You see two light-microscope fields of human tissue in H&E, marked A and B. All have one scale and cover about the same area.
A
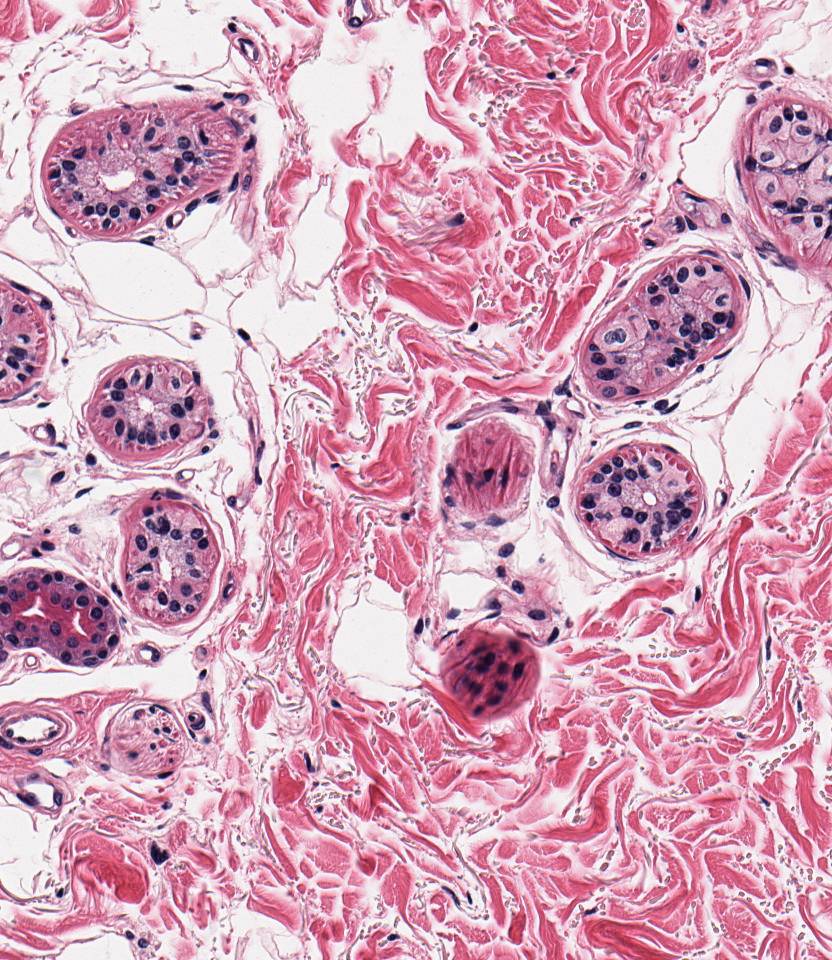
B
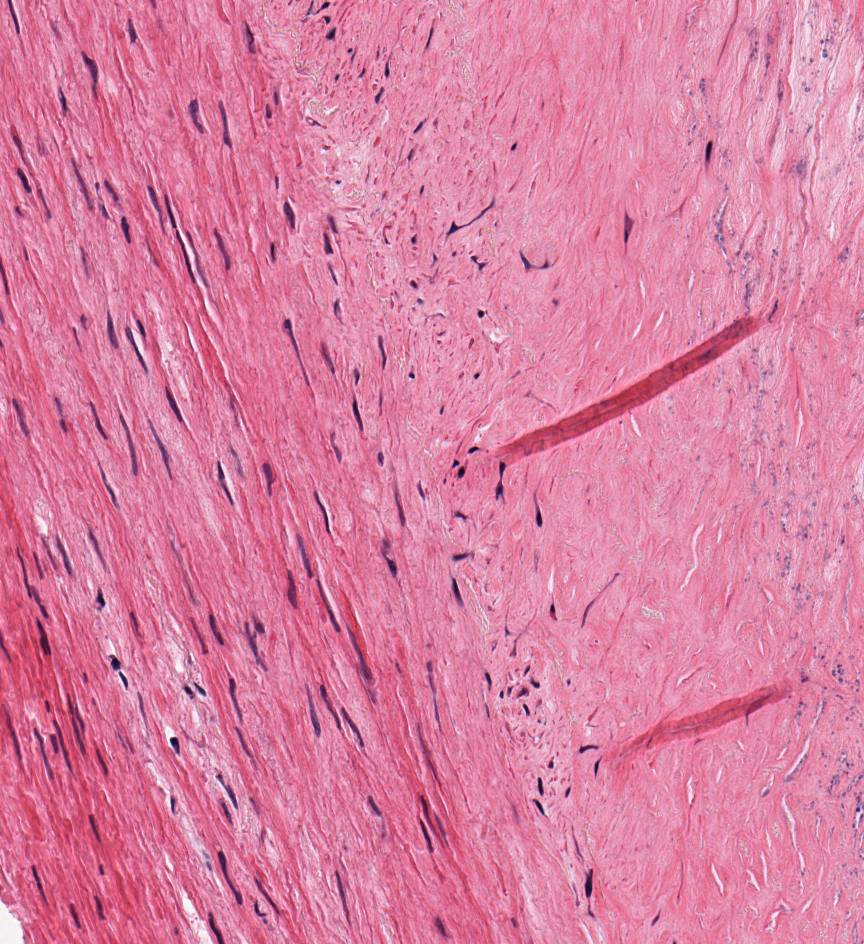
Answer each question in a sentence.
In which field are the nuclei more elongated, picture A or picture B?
The nuclei are more elongated in picture B.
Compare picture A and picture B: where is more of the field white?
It is picture A in which white space covers the larger part.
